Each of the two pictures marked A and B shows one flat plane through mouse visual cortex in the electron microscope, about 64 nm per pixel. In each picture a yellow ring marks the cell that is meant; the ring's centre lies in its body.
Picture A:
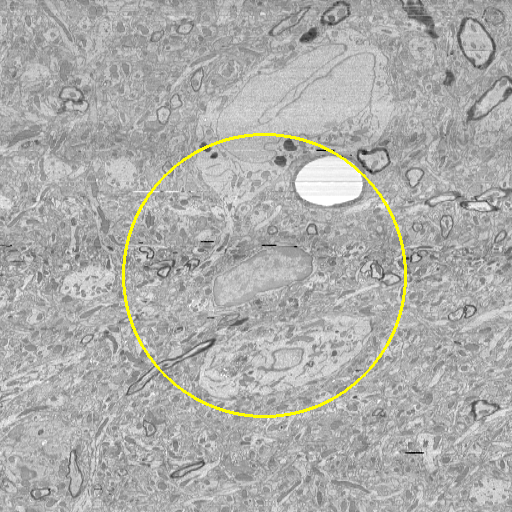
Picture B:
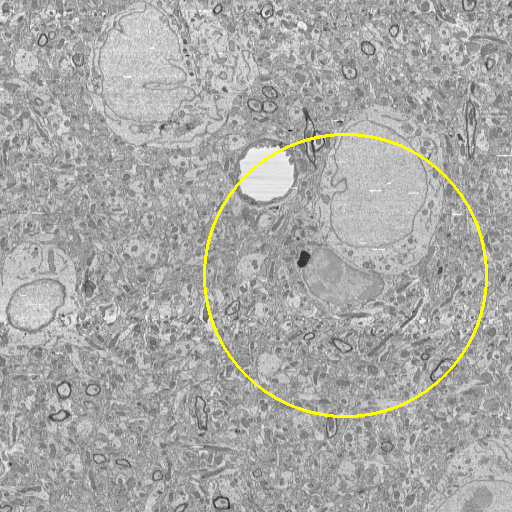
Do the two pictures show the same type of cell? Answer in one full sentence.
Yes; the cells in both pictures are microglial cells.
